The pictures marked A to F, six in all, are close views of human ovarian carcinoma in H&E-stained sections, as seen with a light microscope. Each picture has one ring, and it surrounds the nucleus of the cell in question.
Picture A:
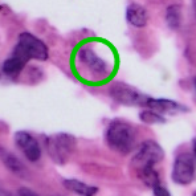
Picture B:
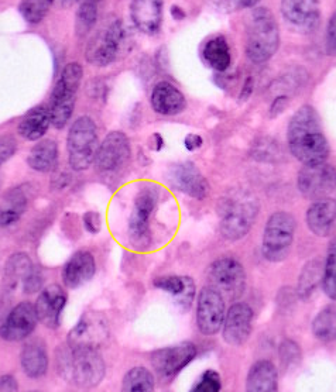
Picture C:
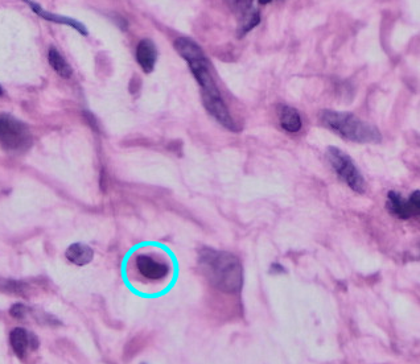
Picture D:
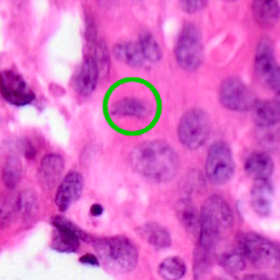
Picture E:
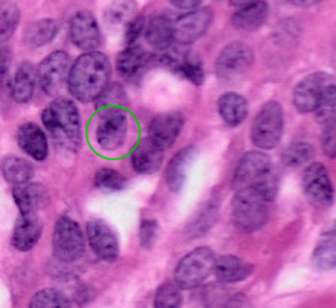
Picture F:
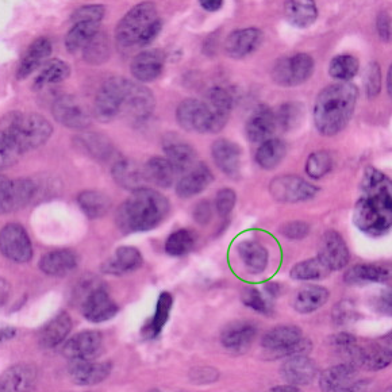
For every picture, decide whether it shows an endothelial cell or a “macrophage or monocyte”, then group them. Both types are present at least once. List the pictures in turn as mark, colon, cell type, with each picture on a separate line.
A: macrophage or monocyte
B: endothelial cell
C: macrophage or monocyte
D: endothelial cell
E: macrophage or monocyte
F: macrophage or monocyte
